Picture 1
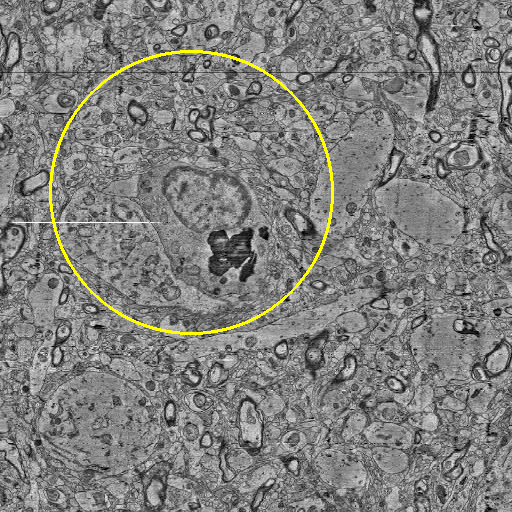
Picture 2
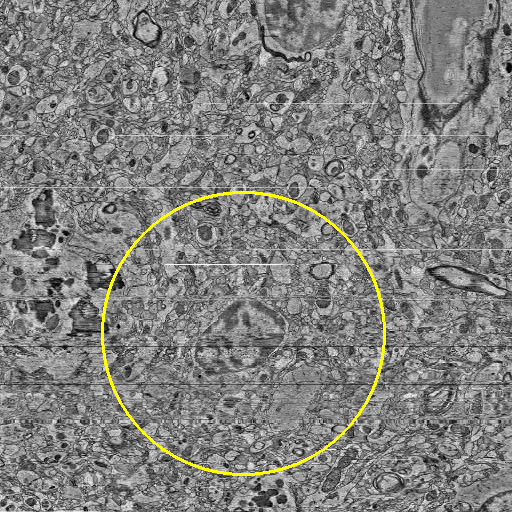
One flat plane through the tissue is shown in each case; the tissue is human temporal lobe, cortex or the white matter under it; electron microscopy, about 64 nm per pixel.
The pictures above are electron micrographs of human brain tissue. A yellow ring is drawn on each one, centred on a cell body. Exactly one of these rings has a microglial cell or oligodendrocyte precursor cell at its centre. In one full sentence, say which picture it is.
Picture 2 has it at the centre of its ring.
